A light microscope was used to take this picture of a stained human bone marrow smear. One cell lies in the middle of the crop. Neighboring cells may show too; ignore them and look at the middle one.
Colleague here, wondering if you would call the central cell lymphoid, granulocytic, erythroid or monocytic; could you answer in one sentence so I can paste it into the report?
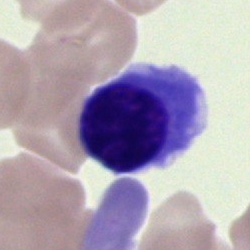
In terms of lineage, the cell in the middle is erythroid.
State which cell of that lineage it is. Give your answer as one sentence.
The crop centres on a single cell, and that cell is an erythroblast.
